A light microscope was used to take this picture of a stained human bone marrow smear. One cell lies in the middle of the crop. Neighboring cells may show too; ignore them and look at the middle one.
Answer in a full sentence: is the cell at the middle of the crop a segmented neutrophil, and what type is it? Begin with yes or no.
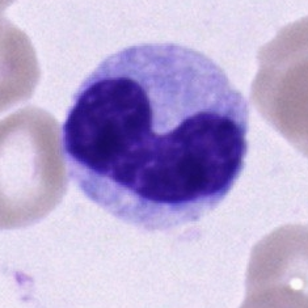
No, the centrally located cell is a band neutrophil rather than a segmented neutrophil.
